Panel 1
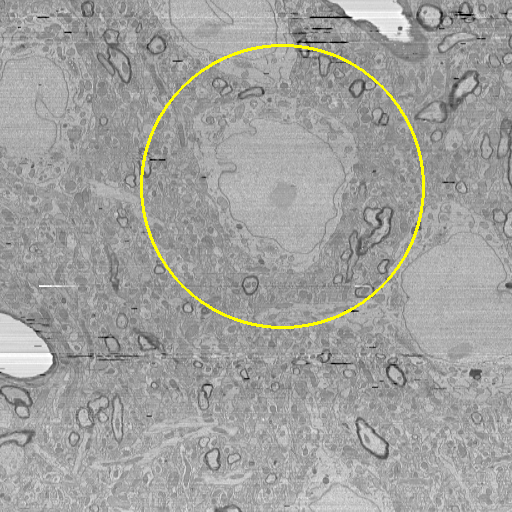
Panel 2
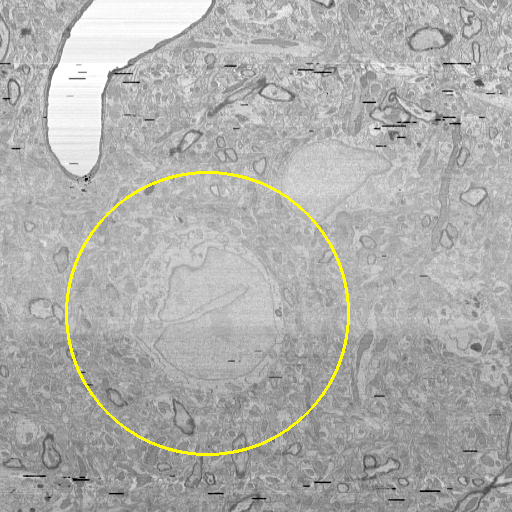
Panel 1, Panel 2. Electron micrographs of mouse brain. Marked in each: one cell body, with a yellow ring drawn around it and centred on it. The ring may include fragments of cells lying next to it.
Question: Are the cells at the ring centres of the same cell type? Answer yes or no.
yes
